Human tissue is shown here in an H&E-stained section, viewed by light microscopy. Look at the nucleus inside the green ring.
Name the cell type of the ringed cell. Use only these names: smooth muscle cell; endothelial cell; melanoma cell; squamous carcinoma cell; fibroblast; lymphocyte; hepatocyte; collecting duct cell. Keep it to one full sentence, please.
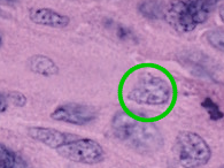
Within the stained tissue, the ringed cell is a squamous carcinoma cell.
